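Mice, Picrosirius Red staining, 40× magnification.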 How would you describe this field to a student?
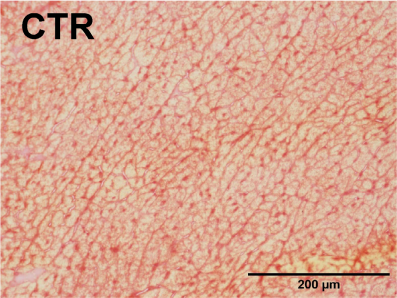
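This is heart muscle cut largely across the fibres, made up of densely packed cardiomyocytes. The muscle cells appear as pale yellow, rounded to polygonal profiles of fairly even size filling the entire field. Between them runs a fine, continuous network of thin red lines that outlines each cell, the delicate connective tissue lying between the muscle cells. Toward the lower right corner the tissue takes on a deeper orange tone.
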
